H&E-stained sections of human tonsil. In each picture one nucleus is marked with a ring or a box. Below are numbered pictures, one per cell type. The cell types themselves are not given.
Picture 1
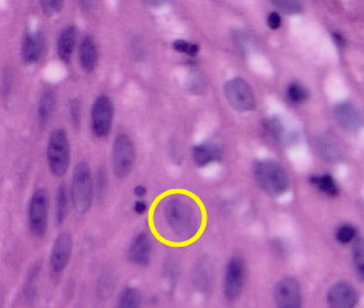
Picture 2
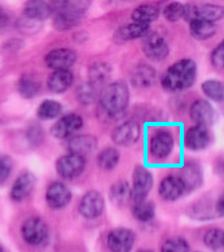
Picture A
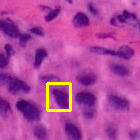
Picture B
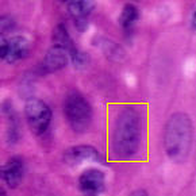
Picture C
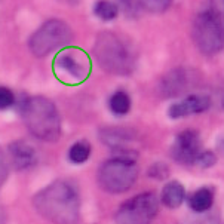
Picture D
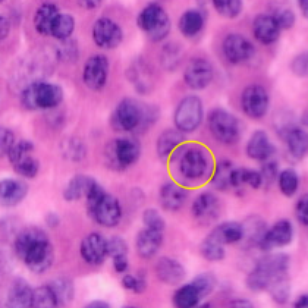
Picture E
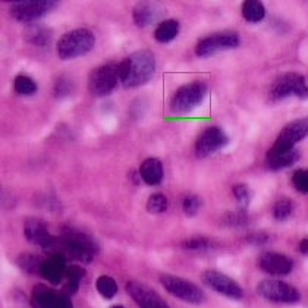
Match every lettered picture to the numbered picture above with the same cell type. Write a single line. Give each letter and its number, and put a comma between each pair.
A 1, B 1, C 1, D 2, E 1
